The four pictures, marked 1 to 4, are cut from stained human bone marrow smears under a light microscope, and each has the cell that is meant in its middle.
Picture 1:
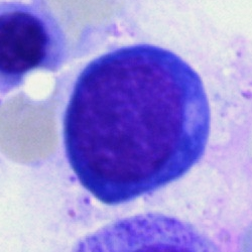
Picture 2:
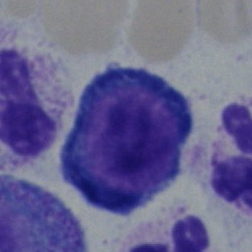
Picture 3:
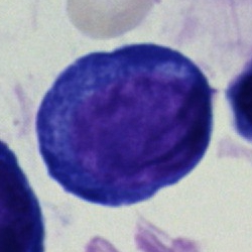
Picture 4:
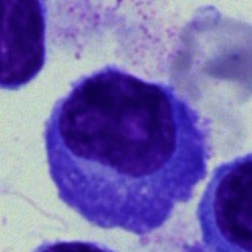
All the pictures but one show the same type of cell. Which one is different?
4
